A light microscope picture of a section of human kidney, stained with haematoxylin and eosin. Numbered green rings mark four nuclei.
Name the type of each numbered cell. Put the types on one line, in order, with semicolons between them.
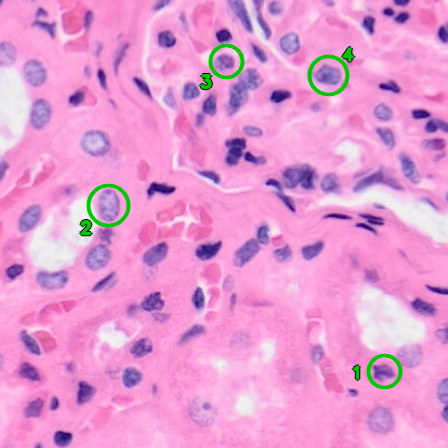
loop of Henle or distal tubule cell; loop of Henle or distal tubule cell; endothelial cell; endothelial cell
